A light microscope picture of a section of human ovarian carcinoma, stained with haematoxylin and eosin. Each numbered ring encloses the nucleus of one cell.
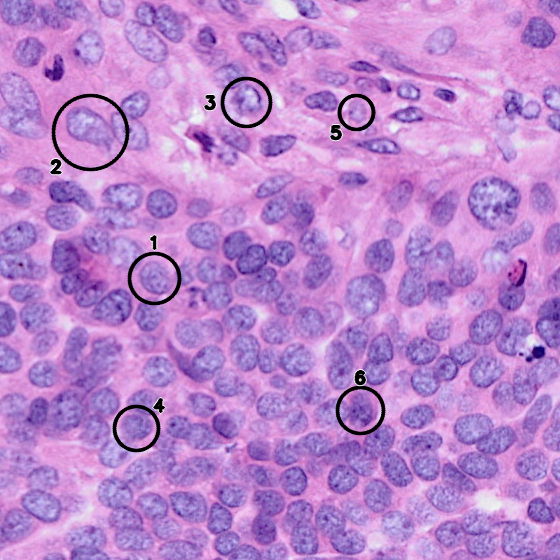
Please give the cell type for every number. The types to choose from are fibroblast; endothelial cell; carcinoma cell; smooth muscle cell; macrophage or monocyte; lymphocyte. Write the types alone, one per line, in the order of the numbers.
carcinoma cell
fibroblast
fibroblast
carcinoma cell
fibroblast
carcinoma cell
